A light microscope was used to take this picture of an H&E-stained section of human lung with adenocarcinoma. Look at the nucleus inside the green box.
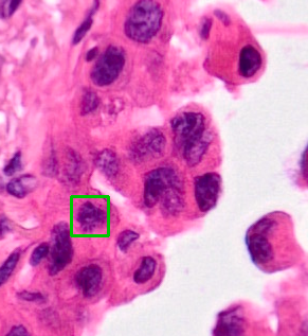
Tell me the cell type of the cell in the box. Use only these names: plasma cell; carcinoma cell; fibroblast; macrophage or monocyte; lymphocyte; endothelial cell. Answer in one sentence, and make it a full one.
In terms of identity, the cell in the box is a carcinoma cell.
